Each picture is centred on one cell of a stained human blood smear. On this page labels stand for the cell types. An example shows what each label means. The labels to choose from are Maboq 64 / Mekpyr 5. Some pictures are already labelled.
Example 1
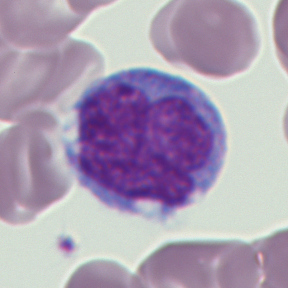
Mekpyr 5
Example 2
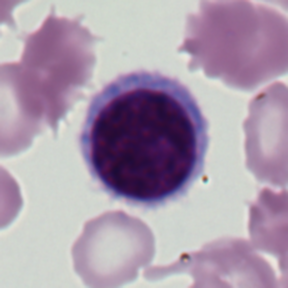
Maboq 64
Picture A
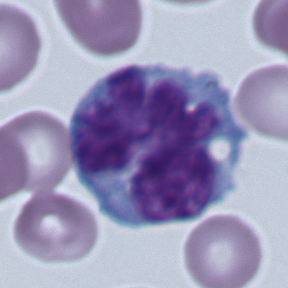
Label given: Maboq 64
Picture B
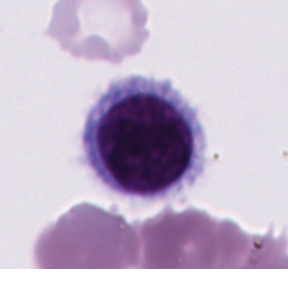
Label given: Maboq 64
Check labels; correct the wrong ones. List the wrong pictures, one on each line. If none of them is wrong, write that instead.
A: change Maboq 64 to Mekpyr 5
